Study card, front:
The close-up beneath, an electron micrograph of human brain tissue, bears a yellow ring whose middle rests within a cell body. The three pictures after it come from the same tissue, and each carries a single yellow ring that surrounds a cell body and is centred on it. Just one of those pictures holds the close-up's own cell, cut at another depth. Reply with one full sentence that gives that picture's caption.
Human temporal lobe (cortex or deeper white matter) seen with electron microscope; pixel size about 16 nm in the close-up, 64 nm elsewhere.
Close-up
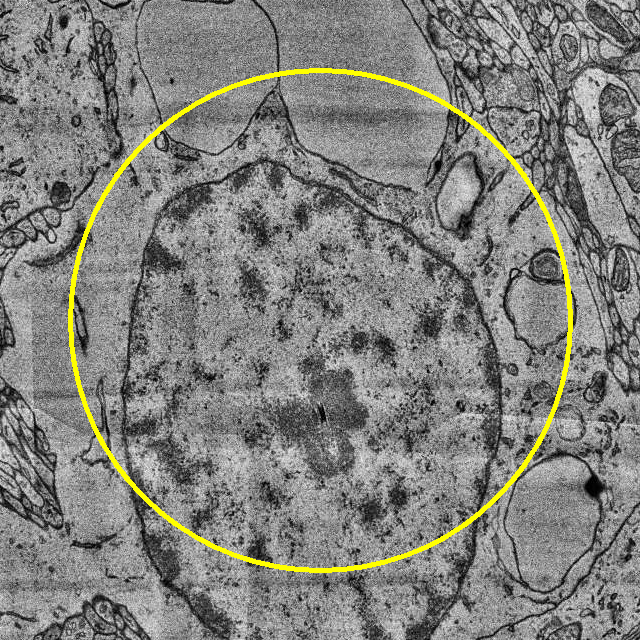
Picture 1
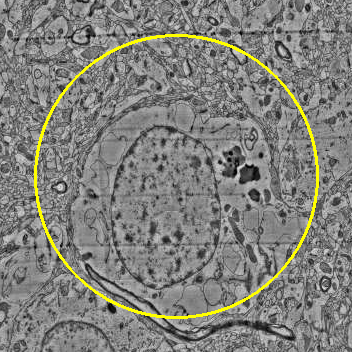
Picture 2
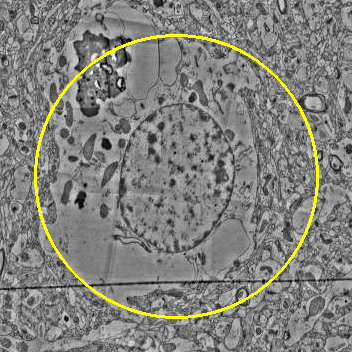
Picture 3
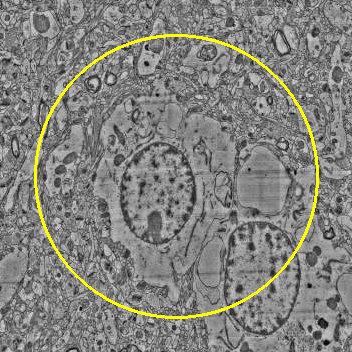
The close-up zooms in on the cell circled in Picture 1.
